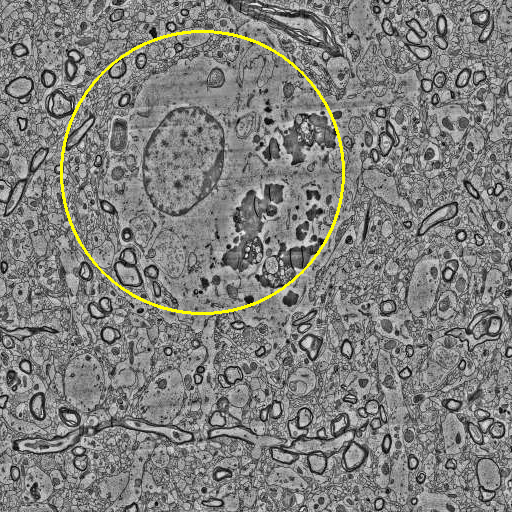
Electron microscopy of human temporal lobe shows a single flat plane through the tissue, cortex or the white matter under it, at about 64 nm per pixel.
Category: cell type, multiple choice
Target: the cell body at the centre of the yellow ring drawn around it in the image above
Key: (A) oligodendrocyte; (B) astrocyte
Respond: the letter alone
B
